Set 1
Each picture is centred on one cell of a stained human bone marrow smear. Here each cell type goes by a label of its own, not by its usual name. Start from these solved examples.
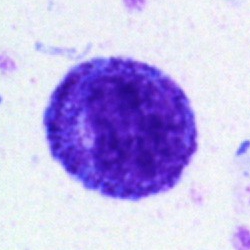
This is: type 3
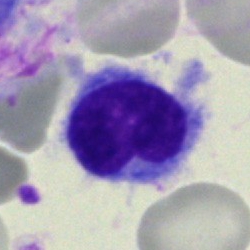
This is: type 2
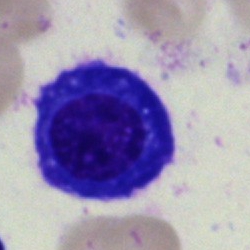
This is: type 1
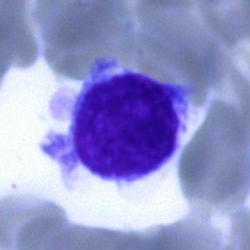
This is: type 2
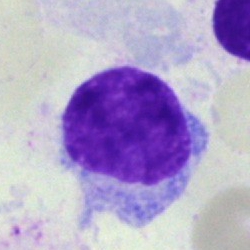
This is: type 2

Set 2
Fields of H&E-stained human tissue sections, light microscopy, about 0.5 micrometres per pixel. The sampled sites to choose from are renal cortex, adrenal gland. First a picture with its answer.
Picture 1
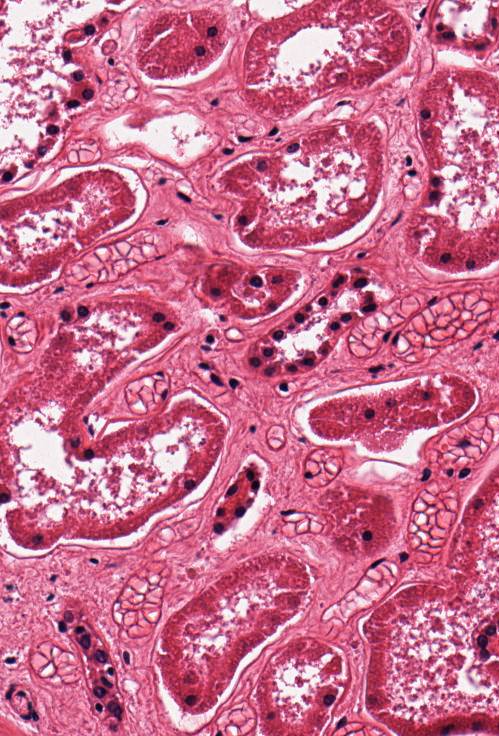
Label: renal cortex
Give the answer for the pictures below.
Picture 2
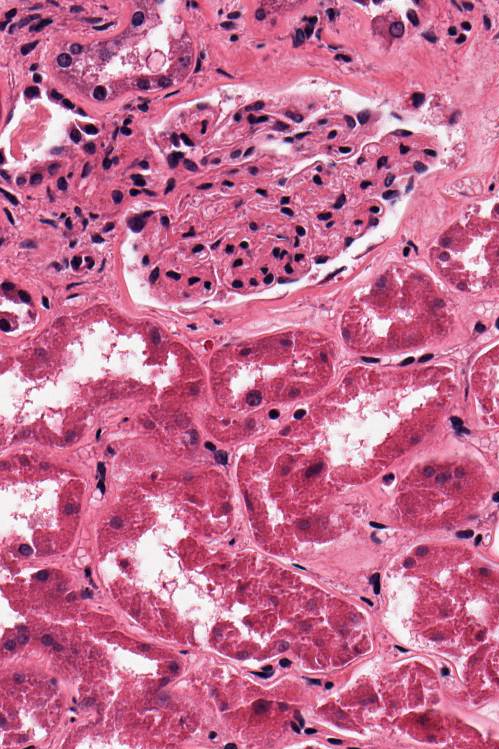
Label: renal cortex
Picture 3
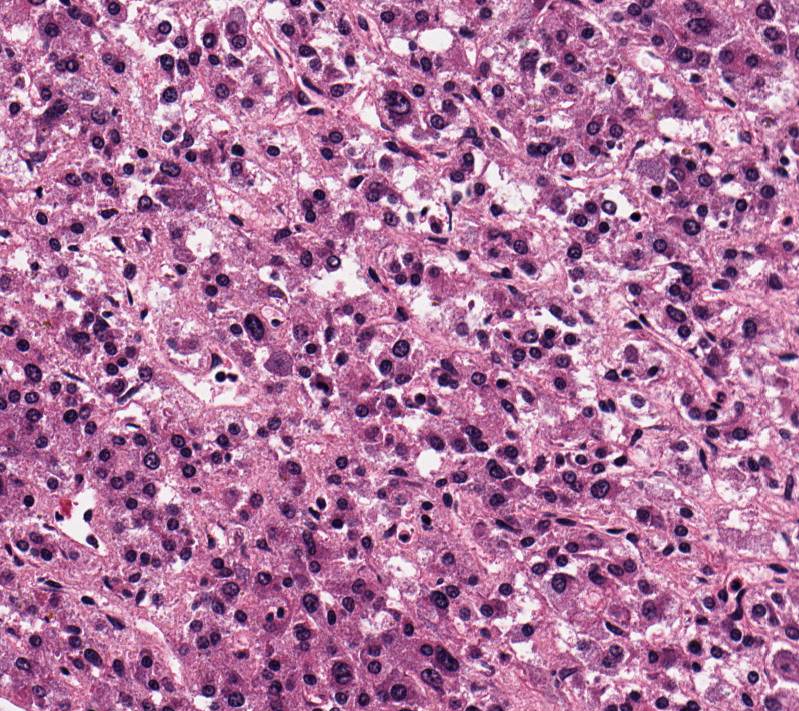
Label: adrenal gland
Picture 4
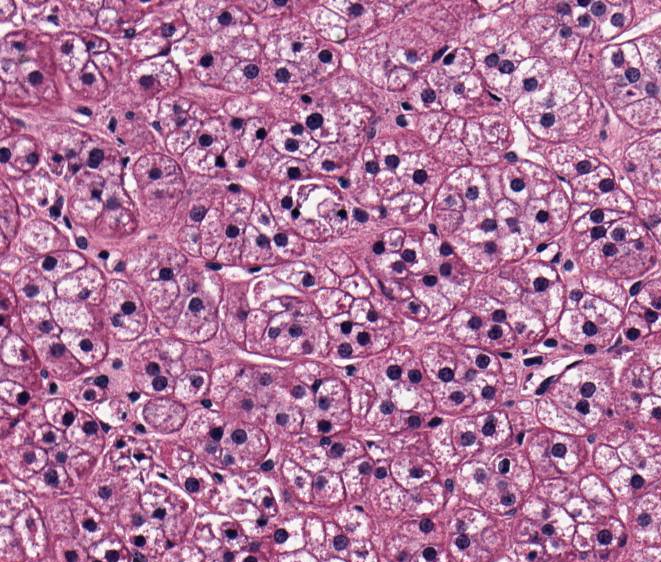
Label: adrenal gland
